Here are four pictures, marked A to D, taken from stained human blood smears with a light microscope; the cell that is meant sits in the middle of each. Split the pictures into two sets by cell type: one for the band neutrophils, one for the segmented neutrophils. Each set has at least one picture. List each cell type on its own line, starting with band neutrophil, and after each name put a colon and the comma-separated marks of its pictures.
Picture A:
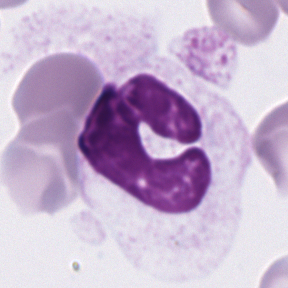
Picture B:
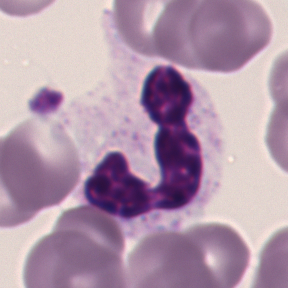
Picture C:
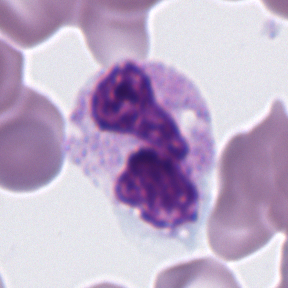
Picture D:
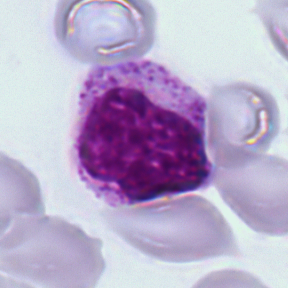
band neutrophil: A, D
segmented neutrophil: B, C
